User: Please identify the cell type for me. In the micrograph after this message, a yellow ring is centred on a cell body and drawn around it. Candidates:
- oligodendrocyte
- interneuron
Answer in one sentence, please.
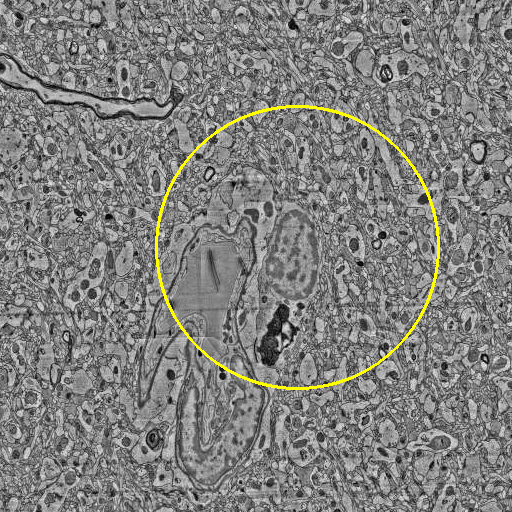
The ring is drawn around the cell body of an oligodendrocyte.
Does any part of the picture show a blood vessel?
Yes, there is one.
